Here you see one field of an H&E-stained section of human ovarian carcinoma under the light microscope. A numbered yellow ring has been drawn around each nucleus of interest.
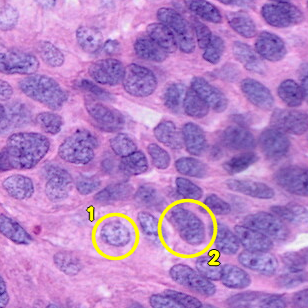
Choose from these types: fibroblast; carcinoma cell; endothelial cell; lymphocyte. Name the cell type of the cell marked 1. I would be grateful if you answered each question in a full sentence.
The nucleus labelled 1 belongs to a fibroblast.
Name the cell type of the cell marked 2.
Denoted by the label 2 in the section is a carcinoma cell.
